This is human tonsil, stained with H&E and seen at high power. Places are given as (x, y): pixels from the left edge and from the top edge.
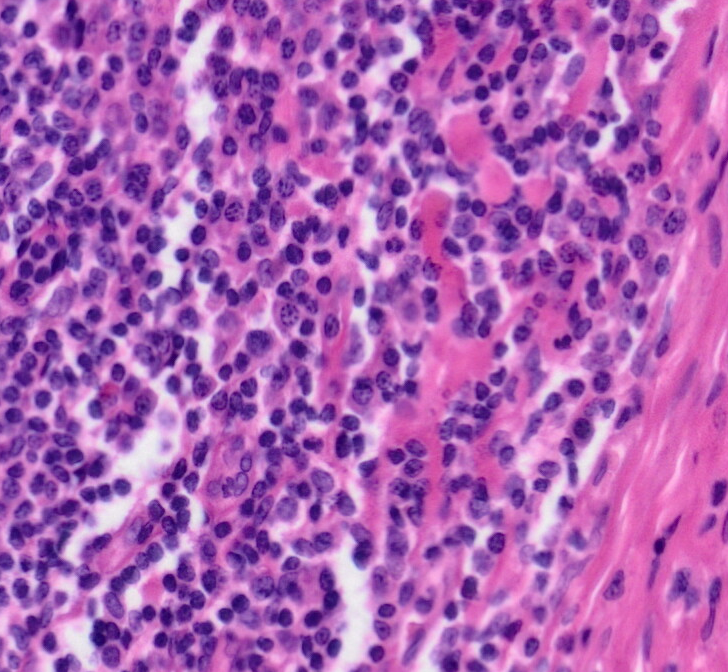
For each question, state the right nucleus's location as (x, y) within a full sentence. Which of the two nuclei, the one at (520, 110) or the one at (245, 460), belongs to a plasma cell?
The correct choice is the nucleus at (520, 110), which belongs to a plasma cell.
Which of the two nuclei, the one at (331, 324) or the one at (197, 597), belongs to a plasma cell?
Of these two nuclei, it is the one at (331, 324) that belongs to a plasma cell.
